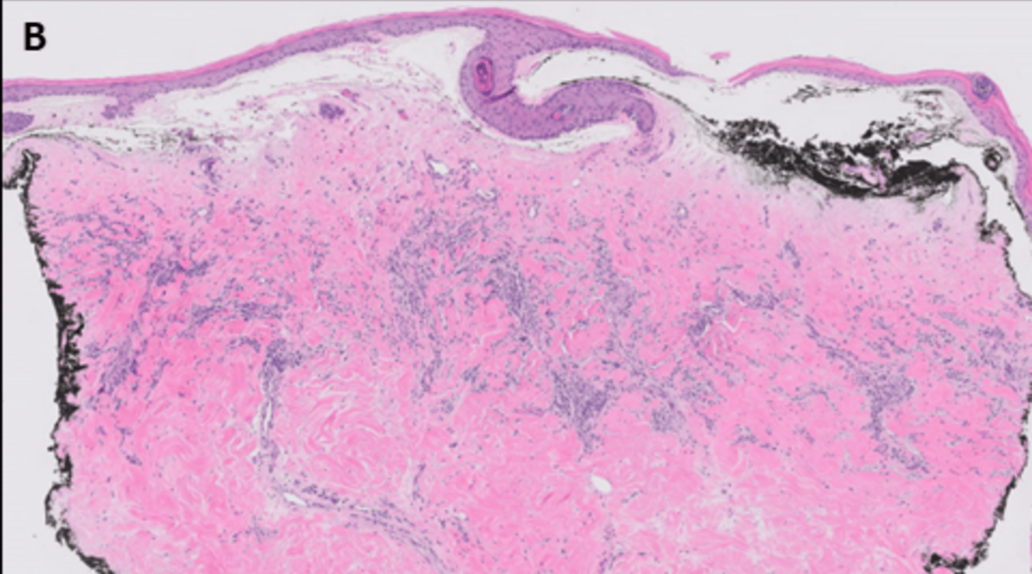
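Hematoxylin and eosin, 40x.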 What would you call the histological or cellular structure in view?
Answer: a subepidermal bulla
